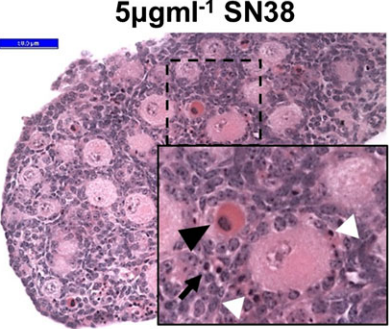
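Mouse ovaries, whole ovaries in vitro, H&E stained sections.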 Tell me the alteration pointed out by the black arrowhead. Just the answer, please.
unhealthy oocyte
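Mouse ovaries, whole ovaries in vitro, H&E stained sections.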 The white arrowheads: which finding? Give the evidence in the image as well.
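Unhealthy granulosa cells. The marked cells lie in the layer around a large oocyte in the inset. The surrounding cell layer looks disorganised, with small dark nuclei.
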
